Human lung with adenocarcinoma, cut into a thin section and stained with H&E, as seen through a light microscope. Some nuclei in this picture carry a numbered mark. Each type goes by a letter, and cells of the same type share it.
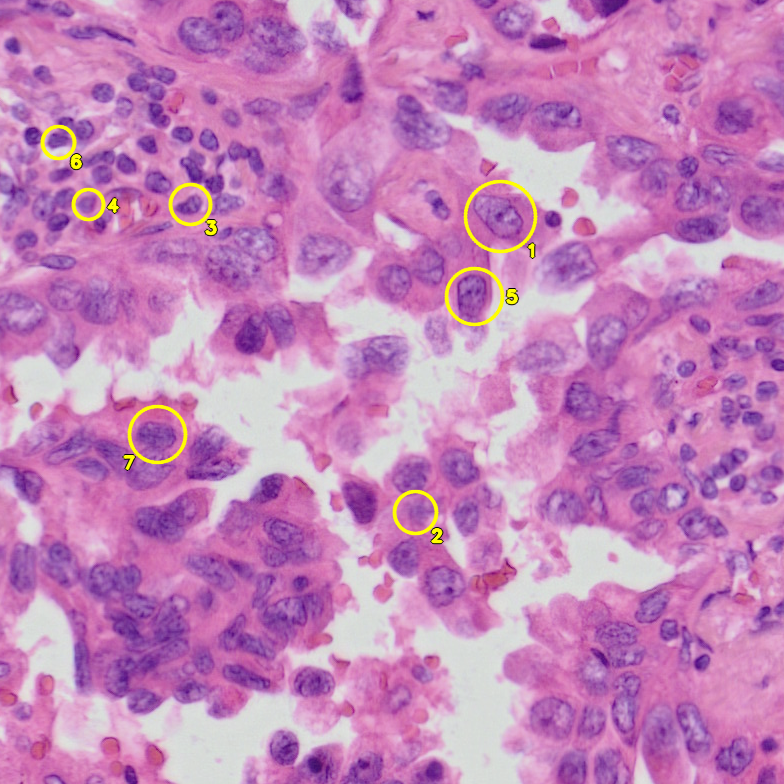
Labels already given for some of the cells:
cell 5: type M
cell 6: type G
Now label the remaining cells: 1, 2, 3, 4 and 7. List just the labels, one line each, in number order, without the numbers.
type M
type M
type G
type G
type M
